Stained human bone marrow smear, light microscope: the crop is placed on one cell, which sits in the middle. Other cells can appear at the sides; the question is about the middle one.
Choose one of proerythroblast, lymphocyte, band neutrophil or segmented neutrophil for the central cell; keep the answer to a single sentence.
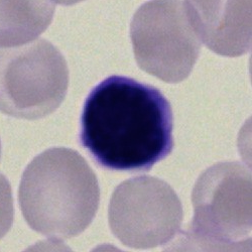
The central element of this crop is a cell, namely a lymphocyte.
